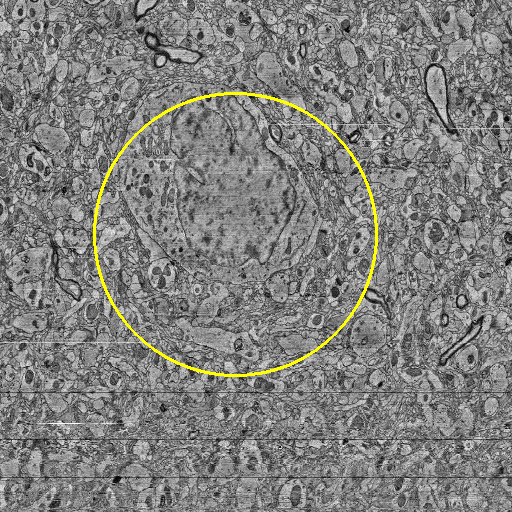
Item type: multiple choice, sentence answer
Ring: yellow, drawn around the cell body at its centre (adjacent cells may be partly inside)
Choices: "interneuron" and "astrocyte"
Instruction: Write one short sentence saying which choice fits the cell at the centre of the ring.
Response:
This ring is drawn around an interneuron.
